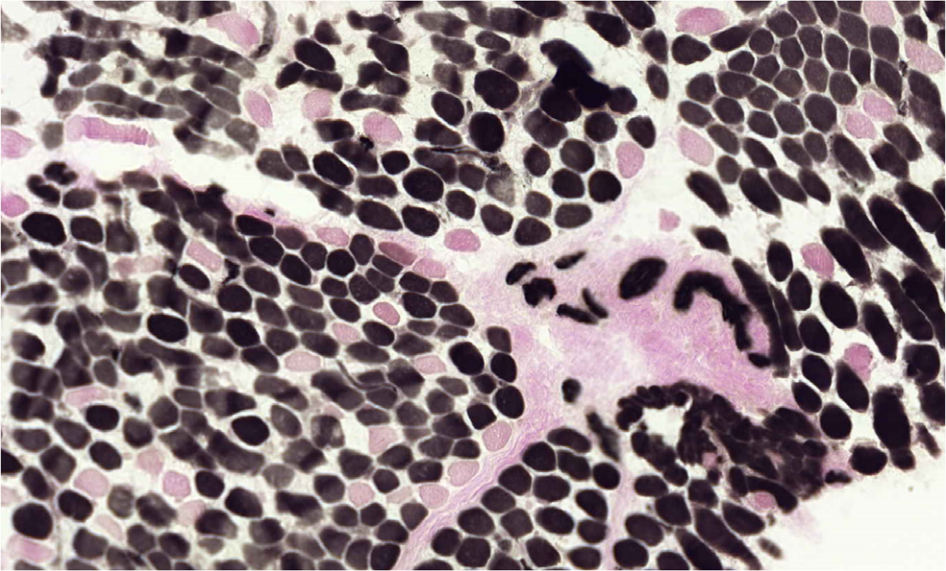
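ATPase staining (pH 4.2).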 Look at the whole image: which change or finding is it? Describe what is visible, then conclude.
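Dark fibers far outnumber pale pink fibers. Pale fibers are scattered singly among the dark ones. On this evidence: a predominance of type 1 fibers.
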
